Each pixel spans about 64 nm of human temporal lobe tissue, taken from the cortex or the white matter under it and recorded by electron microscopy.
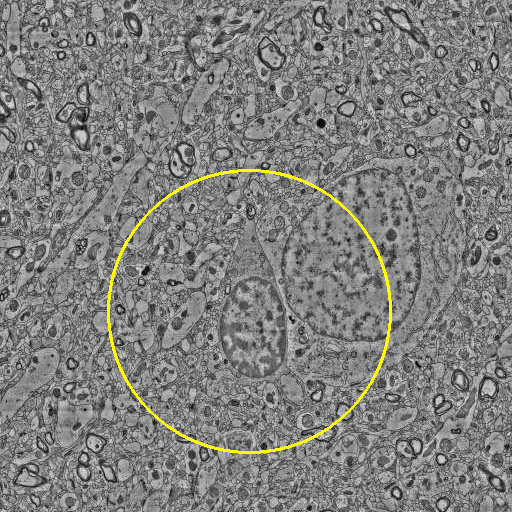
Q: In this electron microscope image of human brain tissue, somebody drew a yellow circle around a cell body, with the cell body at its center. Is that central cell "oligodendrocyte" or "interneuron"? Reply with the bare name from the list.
oligodendrocyte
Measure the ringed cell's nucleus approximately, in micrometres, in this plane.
The nucleus measures about 6 by 4 micrometres, so it is clearly longer than it is wide in this plane.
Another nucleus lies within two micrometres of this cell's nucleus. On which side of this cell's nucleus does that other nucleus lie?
The other nucleus lies to the upper right of it.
